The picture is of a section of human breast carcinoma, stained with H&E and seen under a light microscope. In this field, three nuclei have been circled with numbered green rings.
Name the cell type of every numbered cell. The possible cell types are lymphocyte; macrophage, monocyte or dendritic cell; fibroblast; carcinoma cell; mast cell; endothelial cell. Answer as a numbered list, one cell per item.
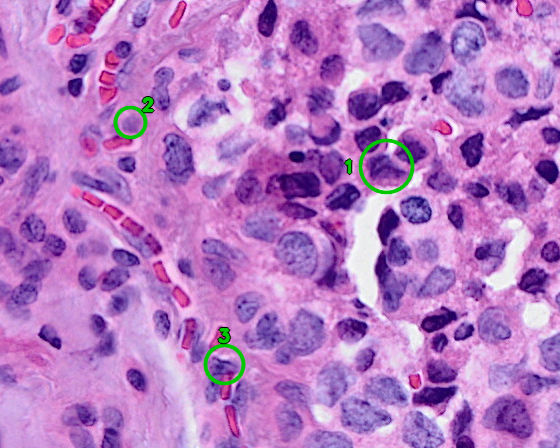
1. carcinoma cell
2. endothelial cell
3. endothelial cell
